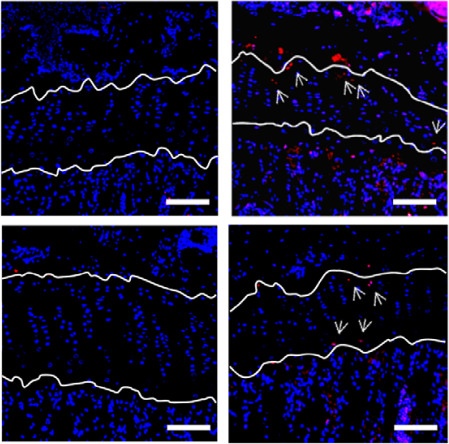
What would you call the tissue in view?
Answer: Growth plate cartilage.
